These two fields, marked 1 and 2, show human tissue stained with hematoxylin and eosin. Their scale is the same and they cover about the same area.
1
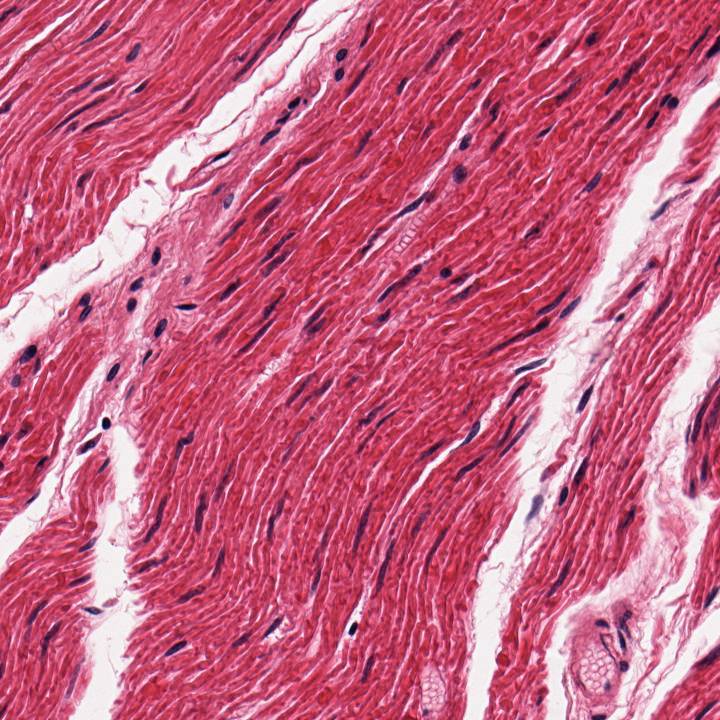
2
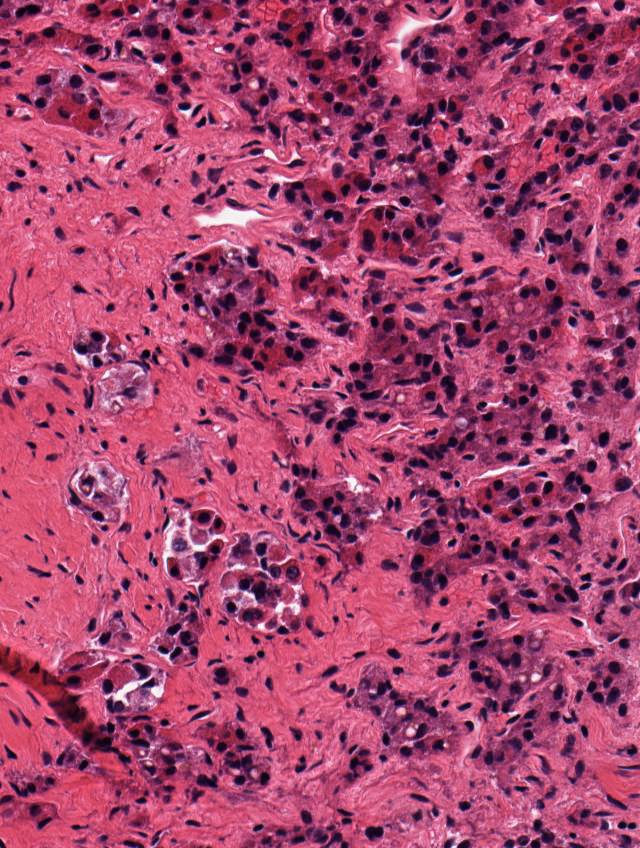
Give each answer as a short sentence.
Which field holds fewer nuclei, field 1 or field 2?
There are fewer nuclei in field 1.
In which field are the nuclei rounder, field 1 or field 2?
The nuclei are rounder in field 2.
